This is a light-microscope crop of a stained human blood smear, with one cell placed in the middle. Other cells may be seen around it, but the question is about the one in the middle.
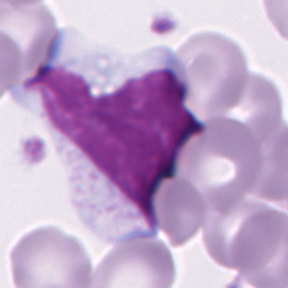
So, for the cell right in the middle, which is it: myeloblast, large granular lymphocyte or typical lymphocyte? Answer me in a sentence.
Here the centrally located cell is a large granular lymphocyte.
